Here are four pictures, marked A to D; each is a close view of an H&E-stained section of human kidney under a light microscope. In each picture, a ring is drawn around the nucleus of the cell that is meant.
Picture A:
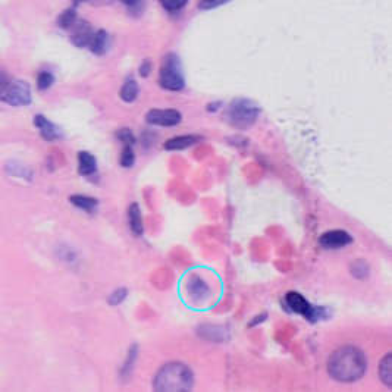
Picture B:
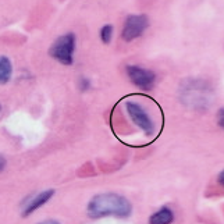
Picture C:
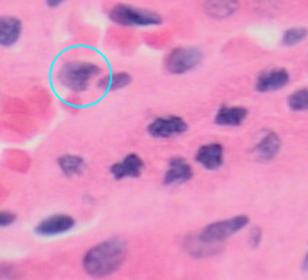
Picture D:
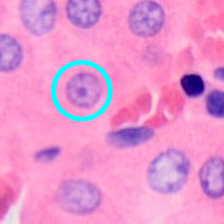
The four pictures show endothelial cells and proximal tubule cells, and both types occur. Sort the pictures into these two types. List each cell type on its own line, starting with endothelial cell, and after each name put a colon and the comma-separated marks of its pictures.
endothelial cell: A, B, C
proximal tubule cell: D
